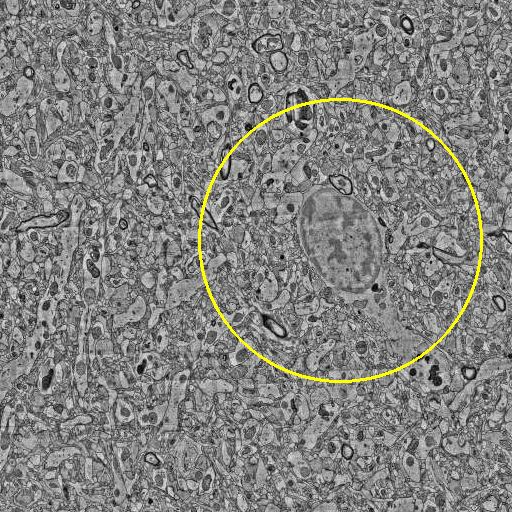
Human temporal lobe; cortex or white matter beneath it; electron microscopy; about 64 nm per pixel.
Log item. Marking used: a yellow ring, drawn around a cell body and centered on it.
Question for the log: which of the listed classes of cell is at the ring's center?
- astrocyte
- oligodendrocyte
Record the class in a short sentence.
At the center of the ring lies an oligodendrocyte.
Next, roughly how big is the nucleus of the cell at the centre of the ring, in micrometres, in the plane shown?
In this plane, the nucleus of the cell at the centre of the ring measures about 7 by 5 micrometres.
